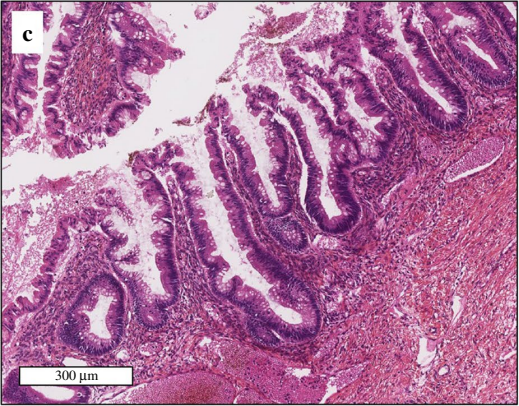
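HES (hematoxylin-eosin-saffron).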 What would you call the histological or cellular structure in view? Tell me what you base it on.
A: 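The folds are covered by a single layer of tall columnar cells. The cells have pale apical cytoplasm and basal, dark nuclei. On this evidence: papillae lined with mucinous epithelium.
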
